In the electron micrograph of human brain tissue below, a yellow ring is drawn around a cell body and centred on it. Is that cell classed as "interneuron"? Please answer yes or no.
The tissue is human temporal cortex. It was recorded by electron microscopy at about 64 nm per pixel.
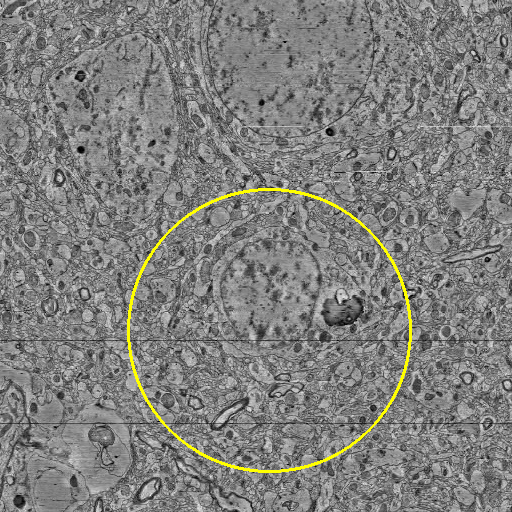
yes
